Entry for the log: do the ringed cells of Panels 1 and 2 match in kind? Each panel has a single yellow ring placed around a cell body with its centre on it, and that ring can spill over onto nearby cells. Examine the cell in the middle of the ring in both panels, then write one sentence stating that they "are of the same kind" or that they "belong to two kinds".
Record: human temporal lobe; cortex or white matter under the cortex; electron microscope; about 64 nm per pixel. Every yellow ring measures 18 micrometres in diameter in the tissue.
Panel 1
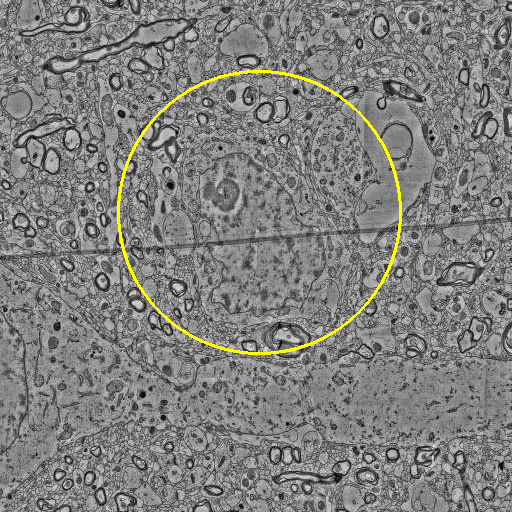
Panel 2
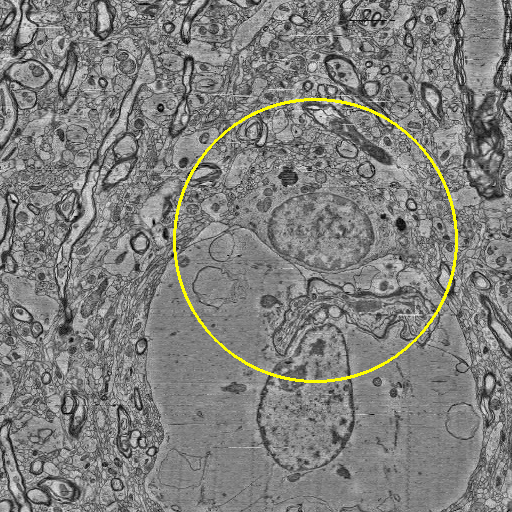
The centre cell of Panel 1's ring and that of Panel 2's ring belong to two kinds.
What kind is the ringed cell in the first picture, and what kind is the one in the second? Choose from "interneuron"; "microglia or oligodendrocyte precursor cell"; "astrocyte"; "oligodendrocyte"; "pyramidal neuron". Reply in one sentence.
The first cell is an interneuron; the second is an oligodendrocyte.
